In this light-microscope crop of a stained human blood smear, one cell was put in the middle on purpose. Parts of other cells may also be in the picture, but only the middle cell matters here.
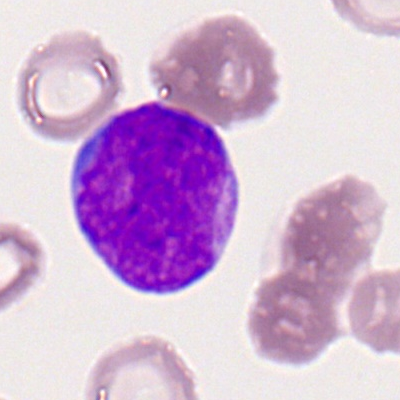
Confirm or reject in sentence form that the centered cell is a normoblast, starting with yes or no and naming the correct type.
No, the cell found centrally in the crop is a myeloblast, not a normoblast.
